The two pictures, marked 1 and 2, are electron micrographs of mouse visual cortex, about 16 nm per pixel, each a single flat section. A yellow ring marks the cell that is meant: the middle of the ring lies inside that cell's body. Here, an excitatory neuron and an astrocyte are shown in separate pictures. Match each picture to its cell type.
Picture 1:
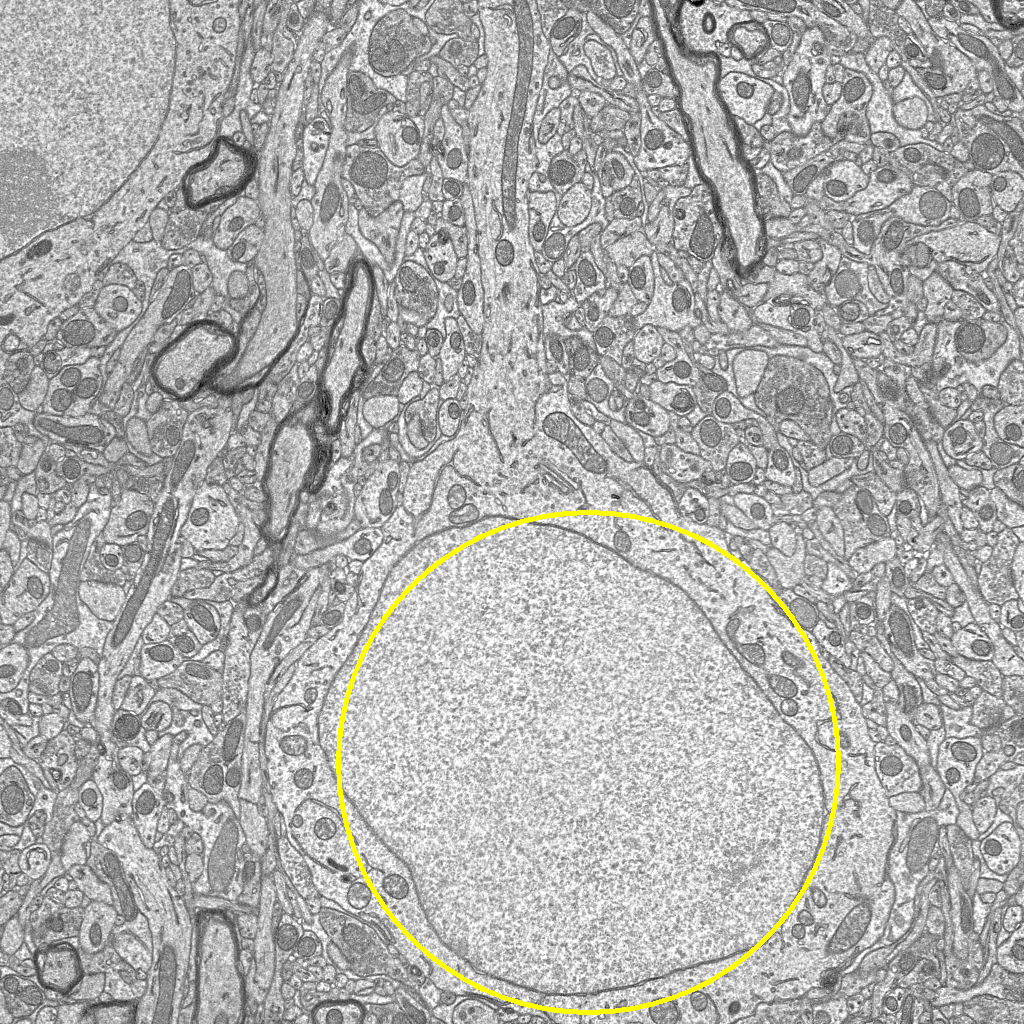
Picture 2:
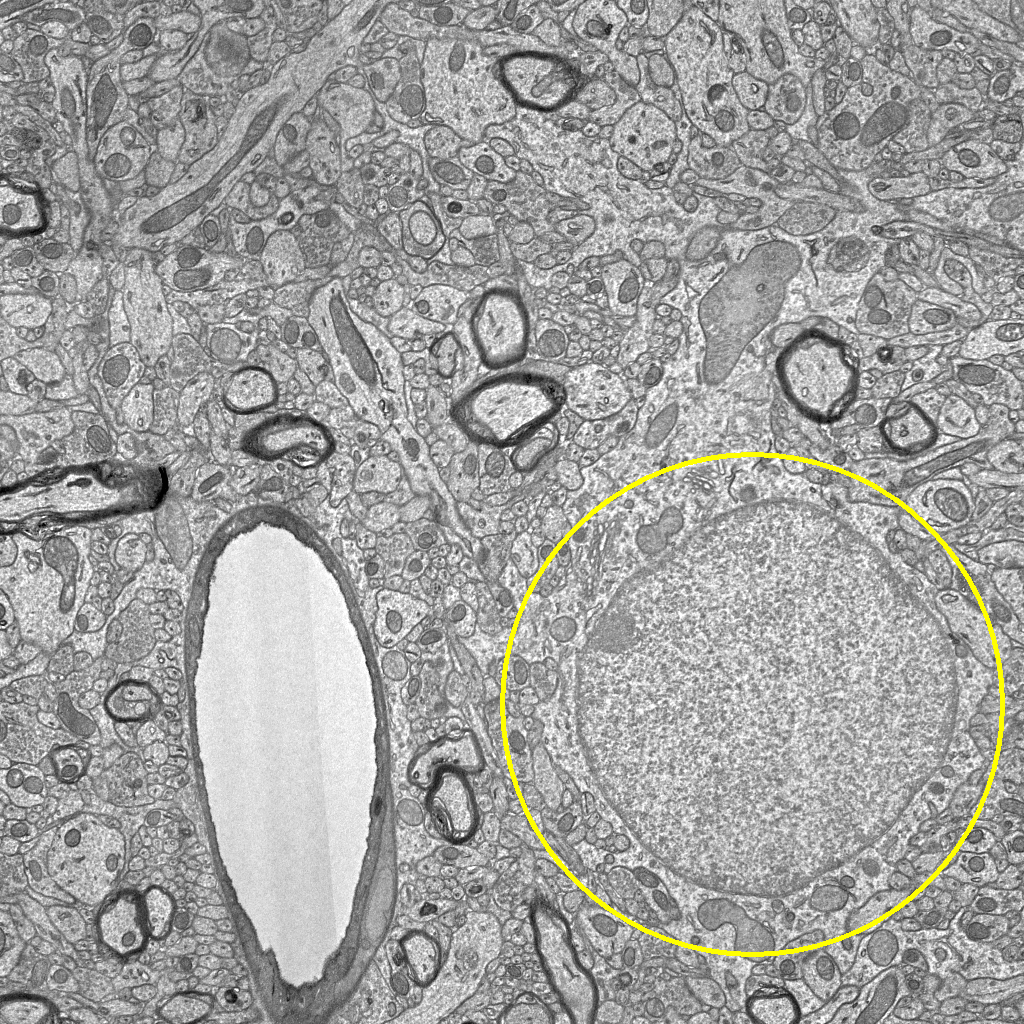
Picture 1 shows an excitatory neuron and picture 2 shows an astrocyte.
